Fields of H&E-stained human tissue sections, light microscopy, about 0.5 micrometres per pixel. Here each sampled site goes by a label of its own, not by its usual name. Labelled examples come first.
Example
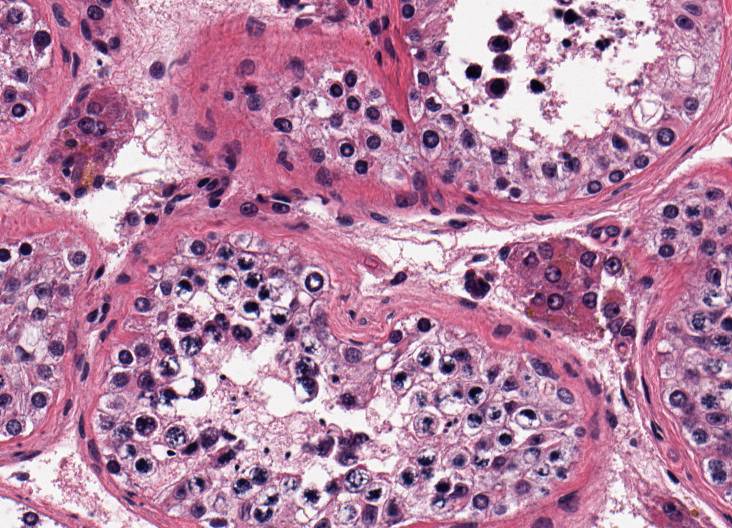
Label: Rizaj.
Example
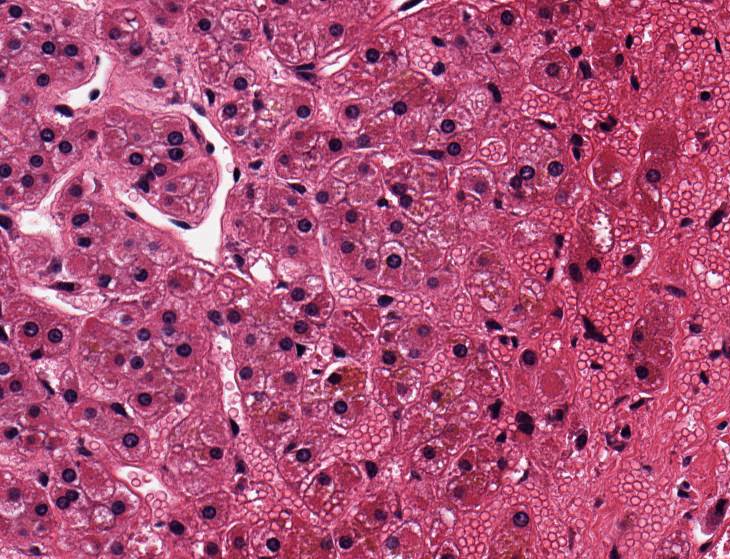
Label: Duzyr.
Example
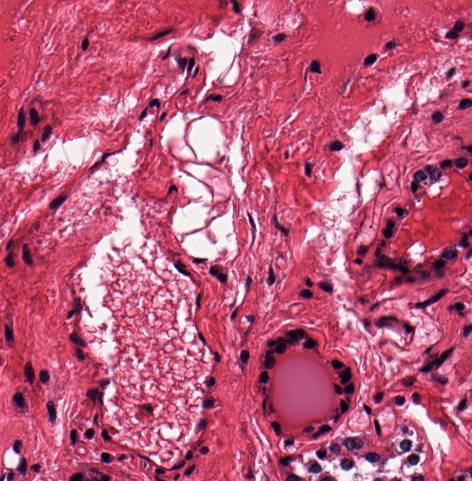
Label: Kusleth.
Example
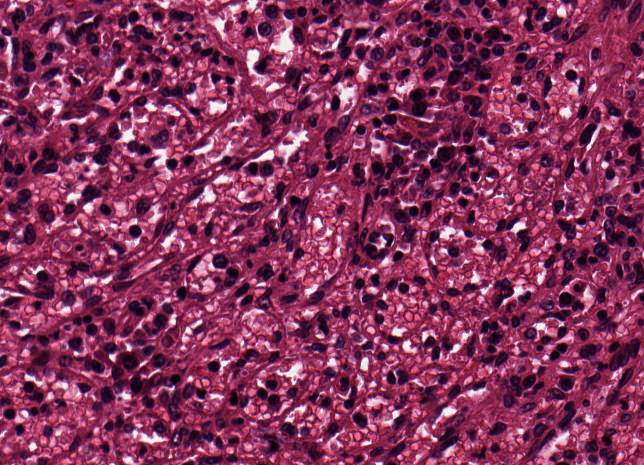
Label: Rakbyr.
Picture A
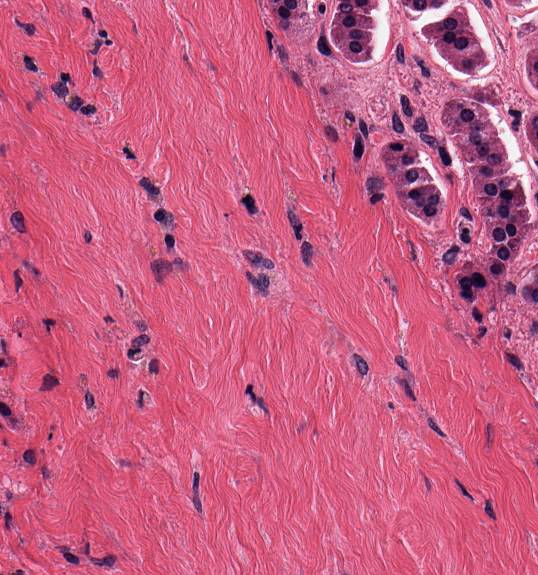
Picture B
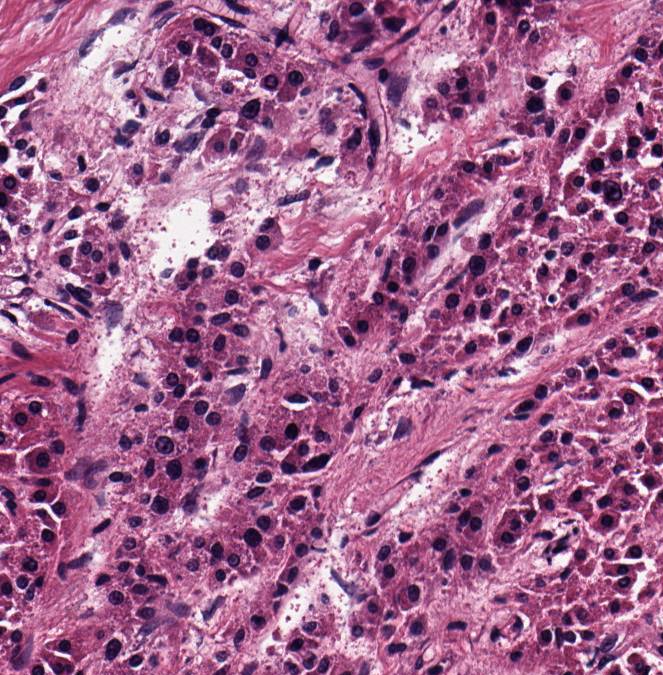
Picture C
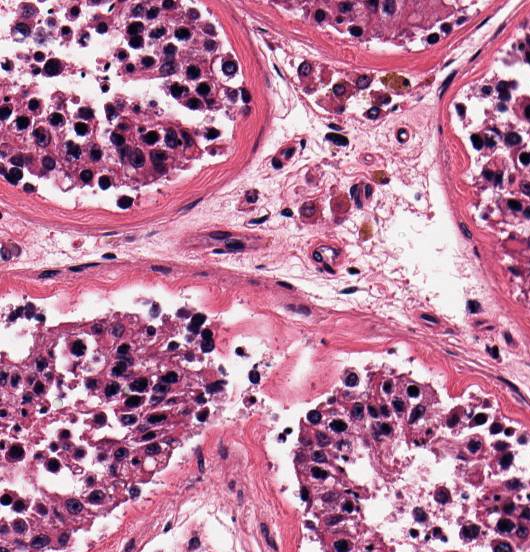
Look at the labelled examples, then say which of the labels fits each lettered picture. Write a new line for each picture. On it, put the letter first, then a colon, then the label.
A: Duzyr.
B: Duzyr.
C: Rizaj.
